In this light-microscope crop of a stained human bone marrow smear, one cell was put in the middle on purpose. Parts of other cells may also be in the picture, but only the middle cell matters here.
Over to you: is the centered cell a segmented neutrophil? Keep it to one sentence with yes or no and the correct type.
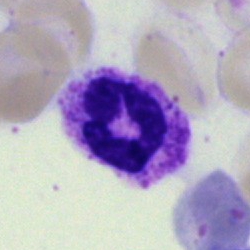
Yes, the cell at the middle of the field is to be classed as a segmented neutrophil.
